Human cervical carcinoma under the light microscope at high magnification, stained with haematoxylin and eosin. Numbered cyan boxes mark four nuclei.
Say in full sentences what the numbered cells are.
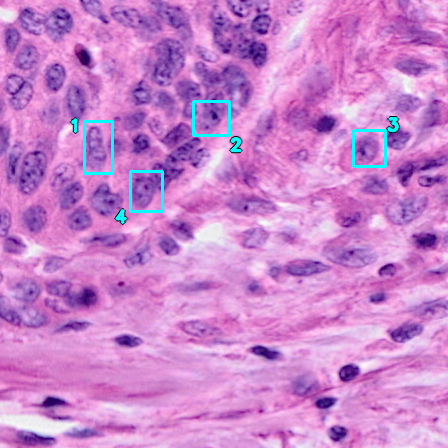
Cell 1 is a squamous carcinoma cell, cell 2 is a squamous carcinoma cell, cell 3 is a macrophage or monocyte and cell 4 is a squamous carcinoma cell.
